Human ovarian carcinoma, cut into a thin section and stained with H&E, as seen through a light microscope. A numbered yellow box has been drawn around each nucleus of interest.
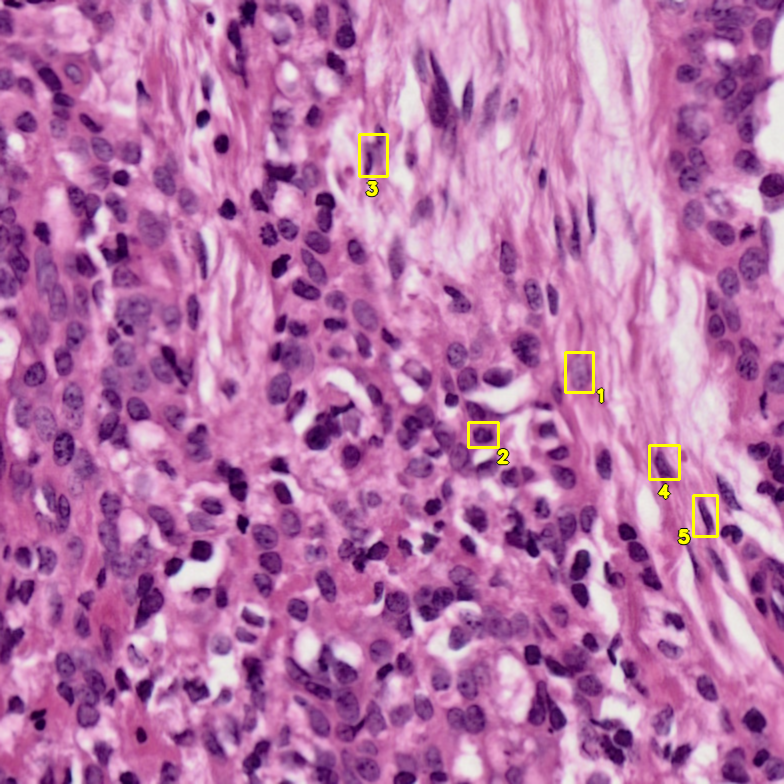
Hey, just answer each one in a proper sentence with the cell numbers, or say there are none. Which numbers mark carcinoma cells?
Among the marked cells, cell number 2 alone is a carcinoma cell.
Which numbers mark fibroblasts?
The cells numbered 3, 4 and 5 fall into the category of fibroblasts.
